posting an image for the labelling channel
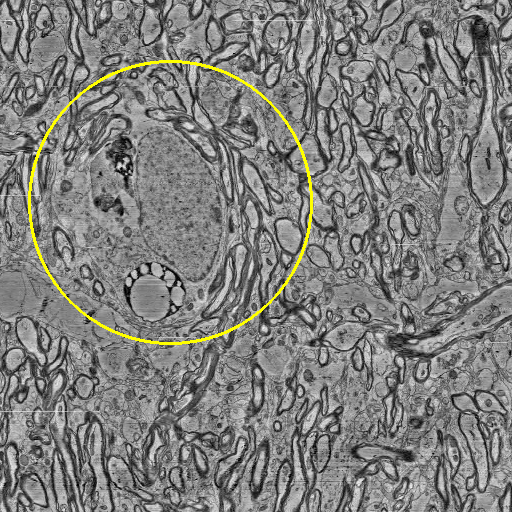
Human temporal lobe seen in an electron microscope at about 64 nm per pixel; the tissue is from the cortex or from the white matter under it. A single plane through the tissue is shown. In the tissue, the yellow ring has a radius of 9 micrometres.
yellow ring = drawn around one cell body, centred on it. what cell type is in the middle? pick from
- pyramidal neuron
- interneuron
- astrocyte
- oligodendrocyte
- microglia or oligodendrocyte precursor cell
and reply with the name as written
astrocyte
